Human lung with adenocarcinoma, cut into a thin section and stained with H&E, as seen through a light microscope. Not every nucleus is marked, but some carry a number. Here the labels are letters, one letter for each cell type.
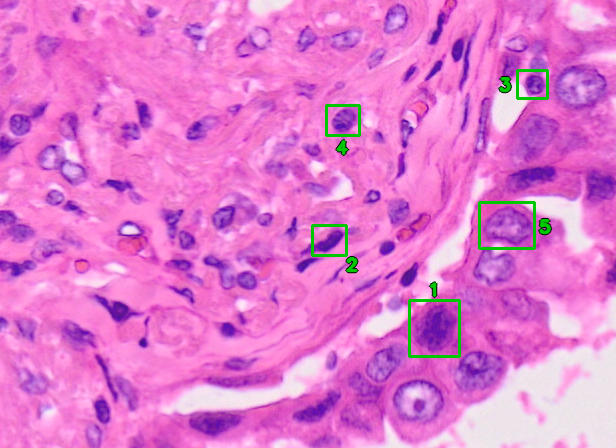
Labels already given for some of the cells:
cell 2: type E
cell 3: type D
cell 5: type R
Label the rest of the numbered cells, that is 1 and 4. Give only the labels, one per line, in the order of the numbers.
type R
type E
